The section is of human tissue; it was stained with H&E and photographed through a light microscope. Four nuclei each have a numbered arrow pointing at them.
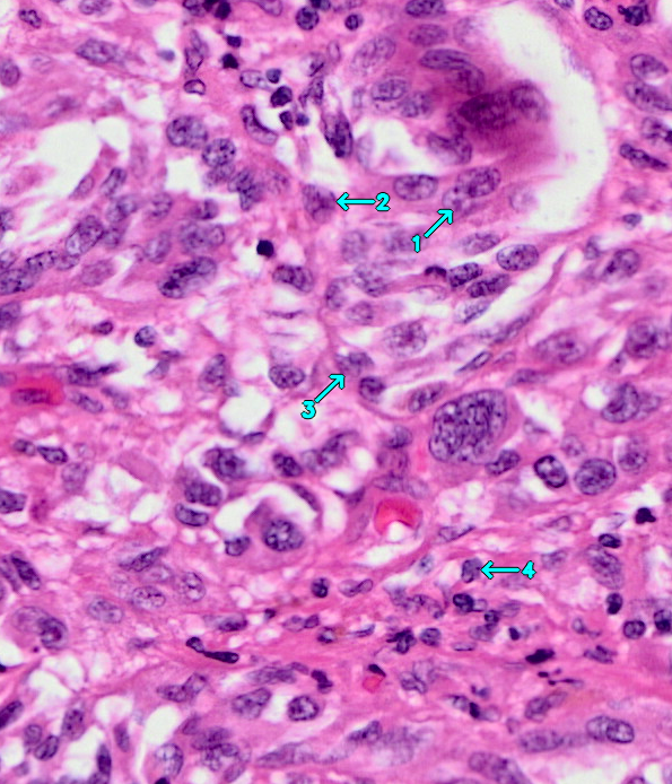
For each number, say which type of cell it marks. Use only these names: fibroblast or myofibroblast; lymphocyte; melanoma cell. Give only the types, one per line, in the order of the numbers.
melanoma cell
melanoma cell
melanoma cell
lymphocyte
